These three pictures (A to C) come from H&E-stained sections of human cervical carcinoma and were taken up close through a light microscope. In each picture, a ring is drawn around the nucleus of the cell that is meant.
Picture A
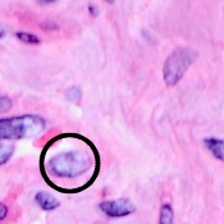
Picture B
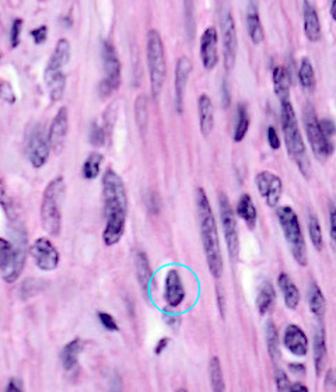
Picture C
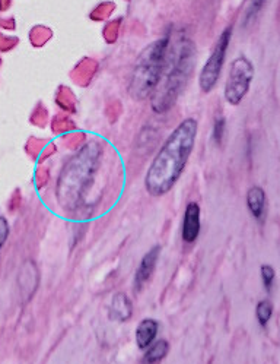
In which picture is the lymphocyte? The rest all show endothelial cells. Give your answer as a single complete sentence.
Picture B is the one that shows the lymphocyte.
